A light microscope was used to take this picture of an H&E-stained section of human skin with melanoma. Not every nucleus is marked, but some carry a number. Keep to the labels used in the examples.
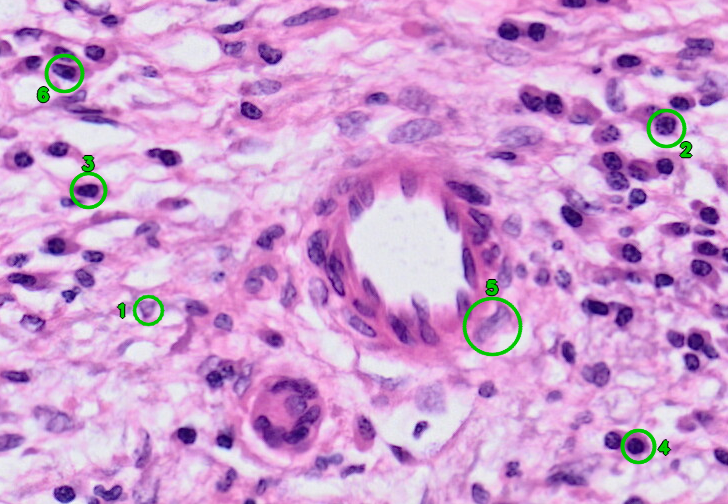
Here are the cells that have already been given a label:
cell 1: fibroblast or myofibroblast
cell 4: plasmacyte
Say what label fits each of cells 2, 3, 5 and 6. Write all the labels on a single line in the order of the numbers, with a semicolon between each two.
plasmacyte; plasmacyte; fibroblast or myofibroblast; plasmacyte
